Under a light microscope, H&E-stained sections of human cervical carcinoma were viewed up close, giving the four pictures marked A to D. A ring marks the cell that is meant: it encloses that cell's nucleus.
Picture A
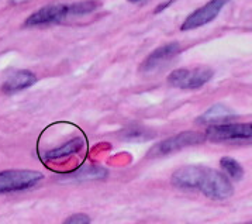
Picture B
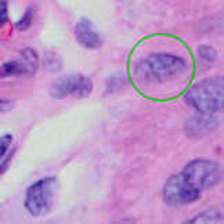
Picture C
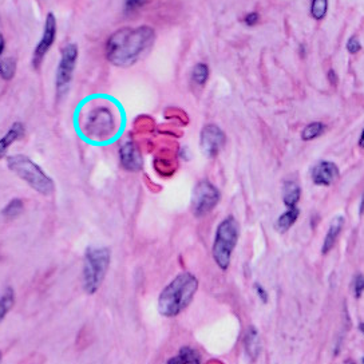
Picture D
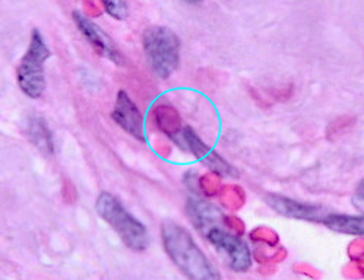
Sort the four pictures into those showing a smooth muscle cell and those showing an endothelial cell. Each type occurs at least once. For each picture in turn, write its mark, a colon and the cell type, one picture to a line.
A: endothelial cell
B: smooth muscle cell
C: endothelial cell
D: endothelial cell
